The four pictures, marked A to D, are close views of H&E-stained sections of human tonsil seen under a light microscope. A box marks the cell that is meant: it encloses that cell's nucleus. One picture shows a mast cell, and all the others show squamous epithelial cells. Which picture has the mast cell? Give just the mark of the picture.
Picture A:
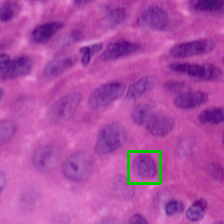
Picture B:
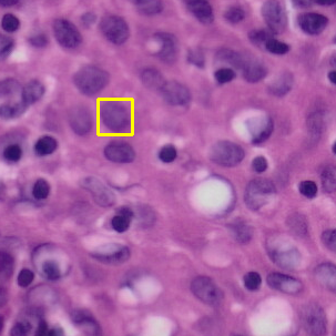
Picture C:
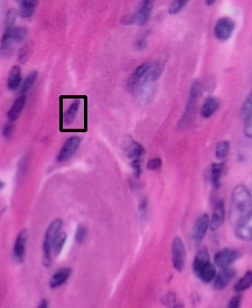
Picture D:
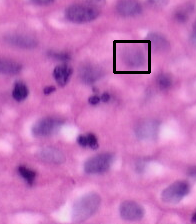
C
